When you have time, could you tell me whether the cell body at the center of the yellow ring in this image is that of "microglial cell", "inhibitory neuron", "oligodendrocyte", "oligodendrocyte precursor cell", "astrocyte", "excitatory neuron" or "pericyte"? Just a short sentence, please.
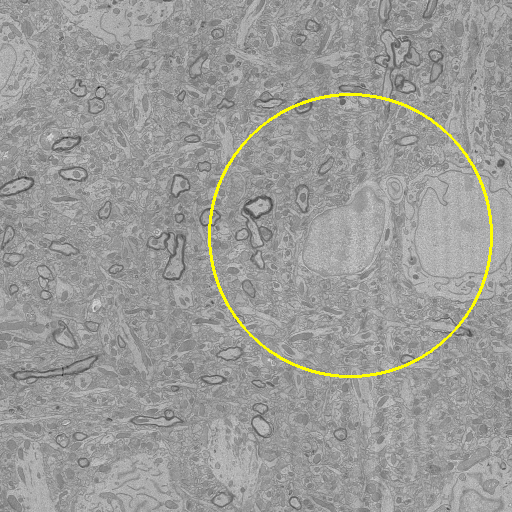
The cell body at the center of the ring is that of an oligodendrocyte precursor cell.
